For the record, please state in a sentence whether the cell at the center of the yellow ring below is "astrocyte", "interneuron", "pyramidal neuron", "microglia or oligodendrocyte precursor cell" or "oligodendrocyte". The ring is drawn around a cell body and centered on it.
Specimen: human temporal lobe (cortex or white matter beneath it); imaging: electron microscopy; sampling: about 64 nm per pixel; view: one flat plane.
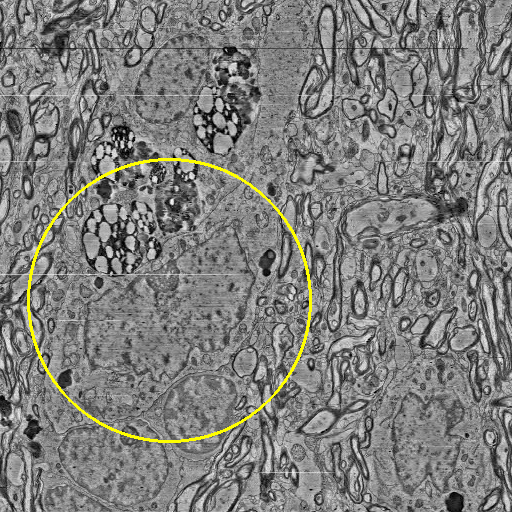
The cell at the ring's center is an interneuron.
